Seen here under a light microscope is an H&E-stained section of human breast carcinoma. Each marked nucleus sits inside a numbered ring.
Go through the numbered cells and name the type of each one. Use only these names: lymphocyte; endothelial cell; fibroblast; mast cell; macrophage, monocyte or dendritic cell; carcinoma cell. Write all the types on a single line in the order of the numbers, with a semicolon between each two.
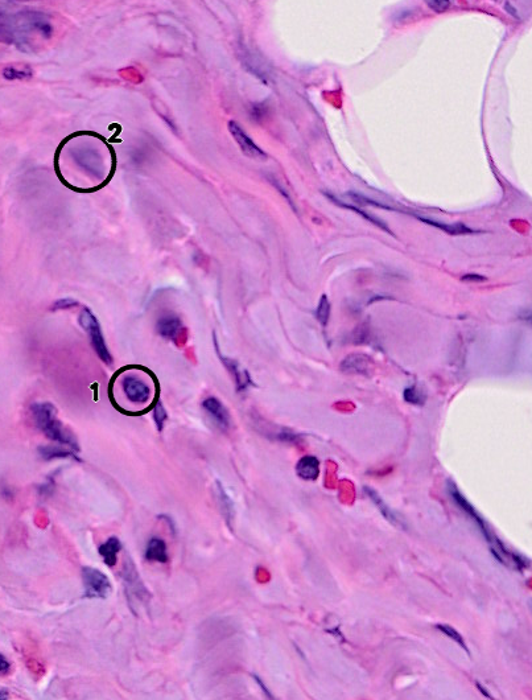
mast cell; fibroblast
